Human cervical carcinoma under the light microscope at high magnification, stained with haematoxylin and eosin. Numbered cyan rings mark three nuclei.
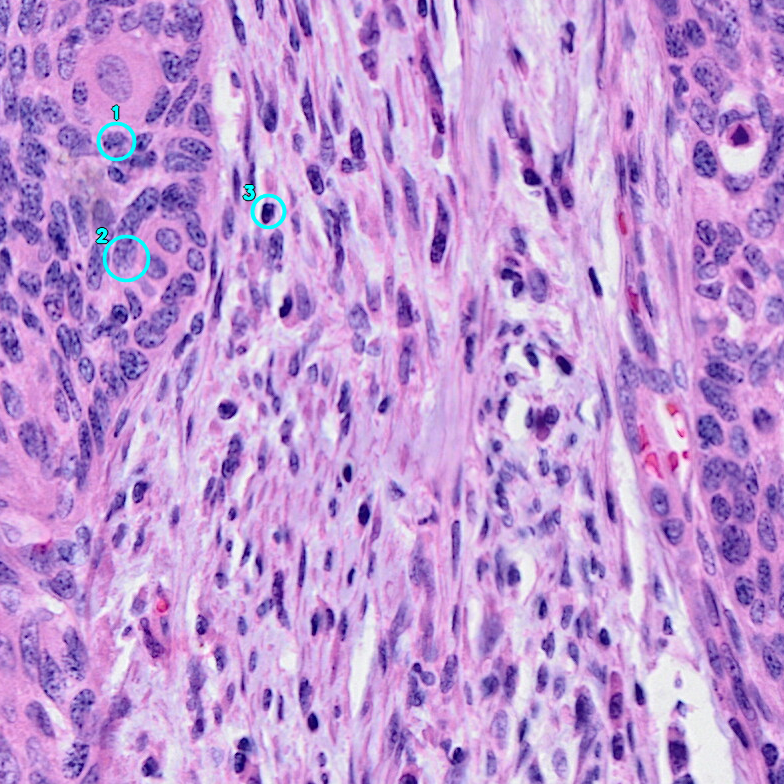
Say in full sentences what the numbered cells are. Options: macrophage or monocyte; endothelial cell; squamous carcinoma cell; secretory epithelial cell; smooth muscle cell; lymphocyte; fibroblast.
Cell 1 is a squamous carcinoma cell, cell 2 is a squamous carcinoma cell and cell 3 is a lymphocyte.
